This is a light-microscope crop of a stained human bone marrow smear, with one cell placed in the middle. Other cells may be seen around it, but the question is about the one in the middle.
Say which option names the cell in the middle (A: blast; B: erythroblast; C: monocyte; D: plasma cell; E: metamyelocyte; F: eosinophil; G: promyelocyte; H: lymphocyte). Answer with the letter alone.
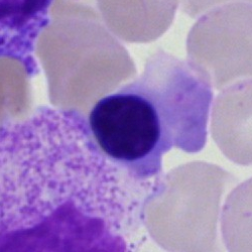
B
